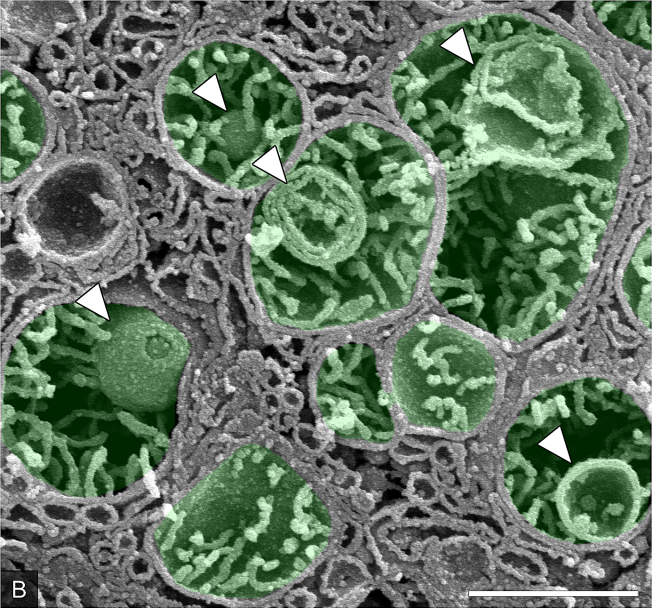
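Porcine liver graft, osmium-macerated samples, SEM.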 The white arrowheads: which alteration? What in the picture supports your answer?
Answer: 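Round membrane-bound vesicles lie inside organelles filled with tubular cristae. Some vesicles have a double-contoured rim. The answer: Intra-mitochondrial abnormal vesicles.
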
